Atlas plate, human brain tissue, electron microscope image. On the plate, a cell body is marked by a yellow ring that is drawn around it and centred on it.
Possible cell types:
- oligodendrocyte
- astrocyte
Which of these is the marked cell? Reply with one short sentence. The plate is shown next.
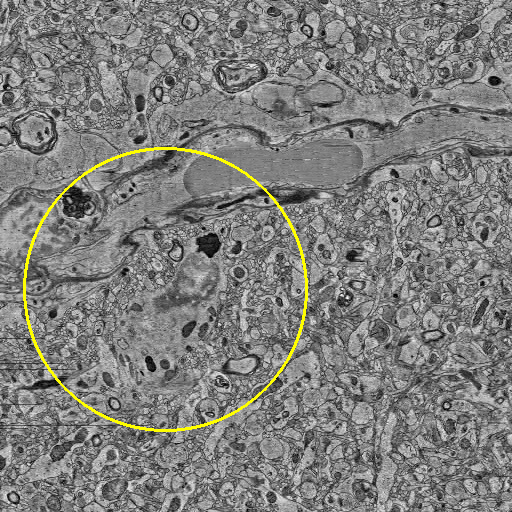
The marked cell is an oligodendrocyte.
